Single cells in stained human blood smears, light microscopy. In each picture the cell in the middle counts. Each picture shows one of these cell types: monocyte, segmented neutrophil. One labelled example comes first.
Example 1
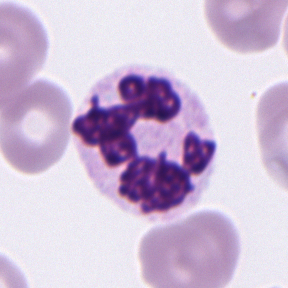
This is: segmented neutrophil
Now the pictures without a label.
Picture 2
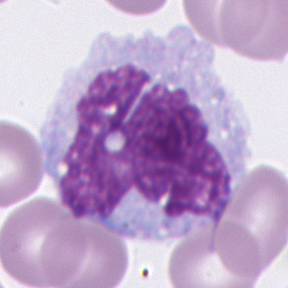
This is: monocyte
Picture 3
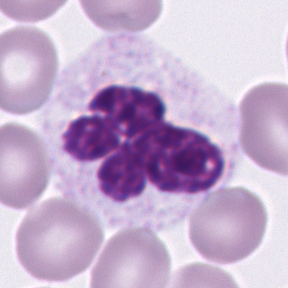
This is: segmented neutrophil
